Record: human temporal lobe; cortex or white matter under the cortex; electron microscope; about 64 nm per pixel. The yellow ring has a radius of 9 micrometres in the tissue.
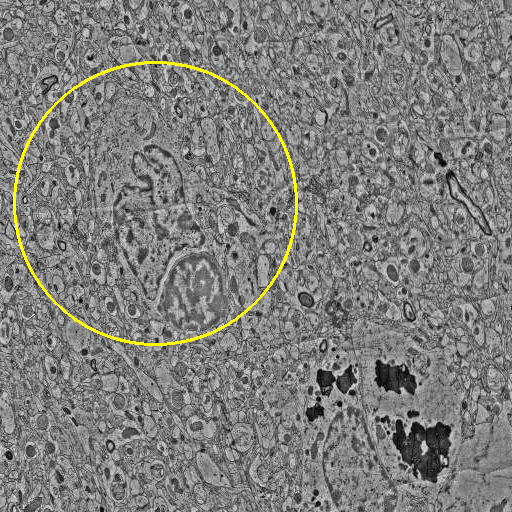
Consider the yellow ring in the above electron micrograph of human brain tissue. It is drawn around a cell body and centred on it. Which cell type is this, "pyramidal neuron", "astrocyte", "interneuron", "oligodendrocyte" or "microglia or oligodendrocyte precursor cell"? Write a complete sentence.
The cell in question is a microglial cell or oligodendrocyte precursor cell.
